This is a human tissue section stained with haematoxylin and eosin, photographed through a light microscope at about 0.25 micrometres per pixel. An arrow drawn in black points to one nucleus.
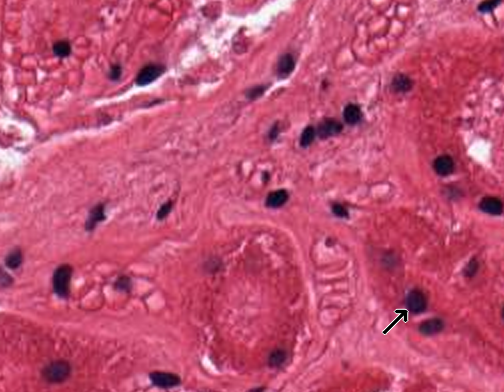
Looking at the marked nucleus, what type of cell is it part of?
proximal tubule cell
